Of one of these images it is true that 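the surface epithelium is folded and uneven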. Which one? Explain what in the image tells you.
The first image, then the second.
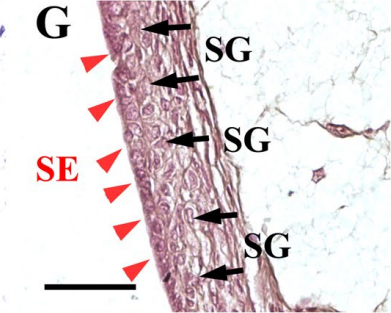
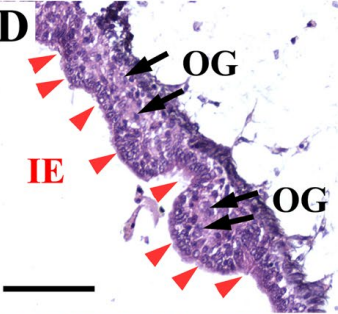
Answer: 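The second image. First image: the surface of the tissue strip runs as a straight, even line. Second image: the surface of the tissue strip bends into folds and indentations.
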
